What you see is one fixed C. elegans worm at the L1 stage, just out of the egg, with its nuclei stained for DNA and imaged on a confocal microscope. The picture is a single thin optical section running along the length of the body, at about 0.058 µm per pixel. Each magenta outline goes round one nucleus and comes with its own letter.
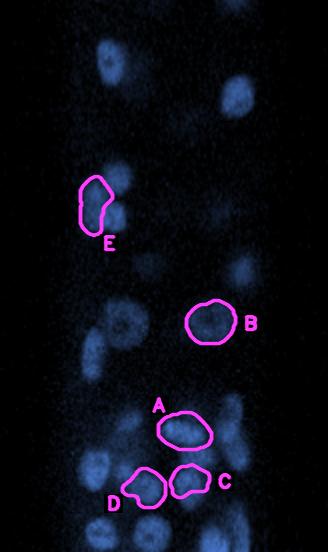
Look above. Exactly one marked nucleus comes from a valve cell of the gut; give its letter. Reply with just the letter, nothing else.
A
